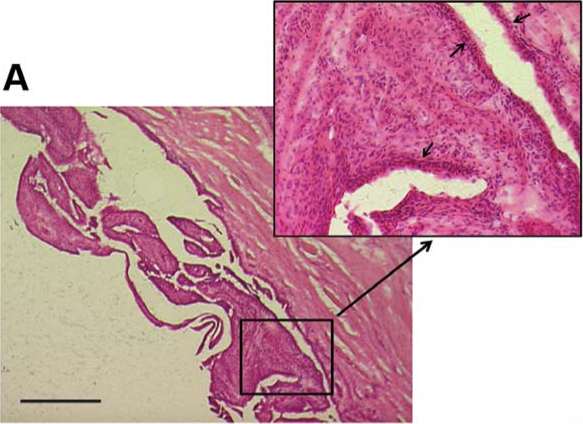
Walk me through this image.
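This is synovial membrane forming elongated, folded fronds that project into the joint space, beside a band of pink, dense fibrous tissue. At higher magnification the surface lining is several cell layers thick, and the tissue beneath it is crowded with many small cells with dark purple nuclei.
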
